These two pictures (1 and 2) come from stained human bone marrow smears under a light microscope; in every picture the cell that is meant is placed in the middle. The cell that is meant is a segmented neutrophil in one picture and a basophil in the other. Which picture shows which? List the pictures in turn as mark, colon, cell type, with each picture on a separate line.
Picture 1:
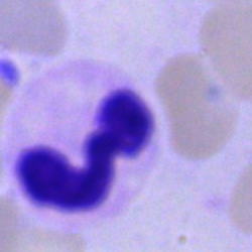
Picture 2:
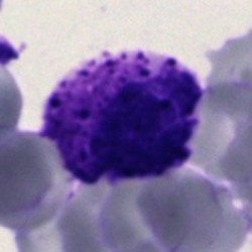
1: segmented neutrophil
2: basophil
